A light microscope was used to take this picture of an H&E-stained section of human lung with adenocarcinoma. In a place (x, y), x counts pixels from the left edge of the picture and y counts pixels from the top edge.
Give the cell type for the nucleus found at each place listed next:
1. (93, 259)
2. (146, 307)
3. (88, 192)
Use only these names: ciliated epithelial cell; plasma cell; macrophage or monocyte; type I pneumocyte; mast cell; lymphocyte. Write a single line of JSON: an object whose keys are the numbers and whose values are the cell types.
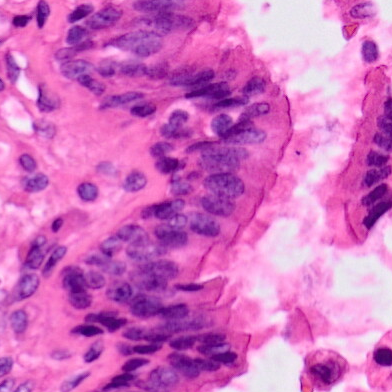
{"1": "ciliated epithelial cell", "2": "ciliated epithelial cell", "3": "mast cell"}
